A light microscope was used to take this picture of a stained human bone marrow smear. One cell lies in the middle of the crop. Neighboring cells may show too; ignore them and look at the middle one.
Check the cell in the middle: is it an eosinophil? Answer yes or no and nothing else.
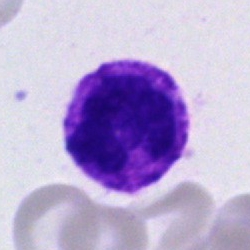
no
